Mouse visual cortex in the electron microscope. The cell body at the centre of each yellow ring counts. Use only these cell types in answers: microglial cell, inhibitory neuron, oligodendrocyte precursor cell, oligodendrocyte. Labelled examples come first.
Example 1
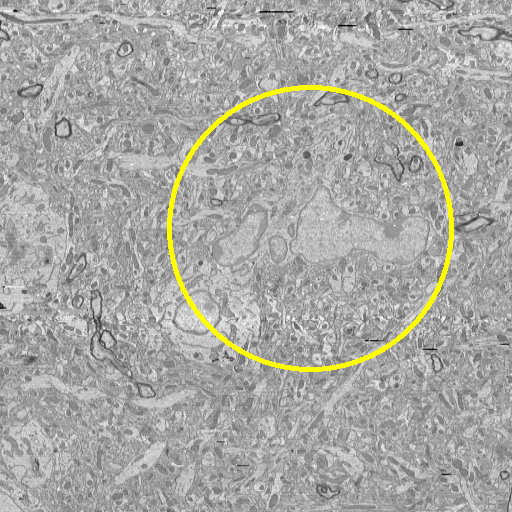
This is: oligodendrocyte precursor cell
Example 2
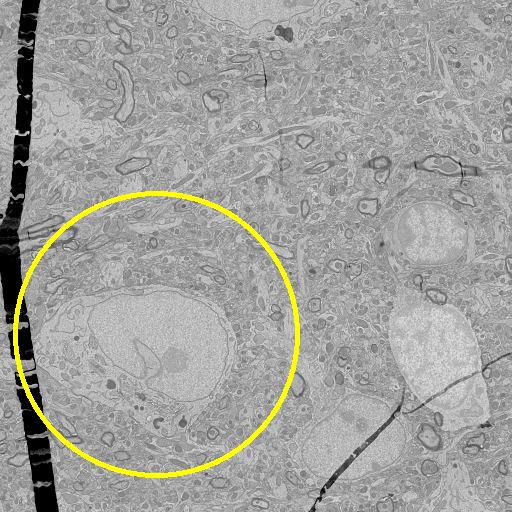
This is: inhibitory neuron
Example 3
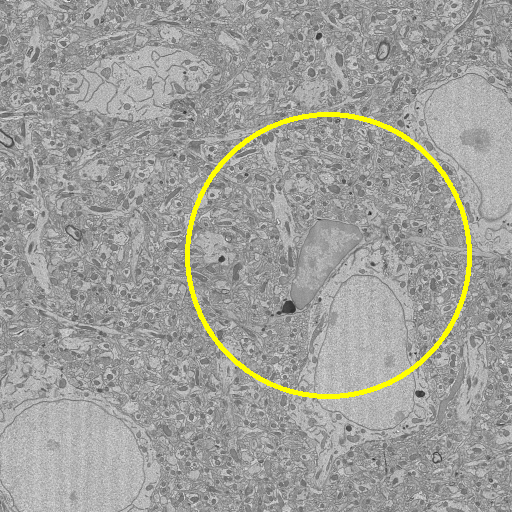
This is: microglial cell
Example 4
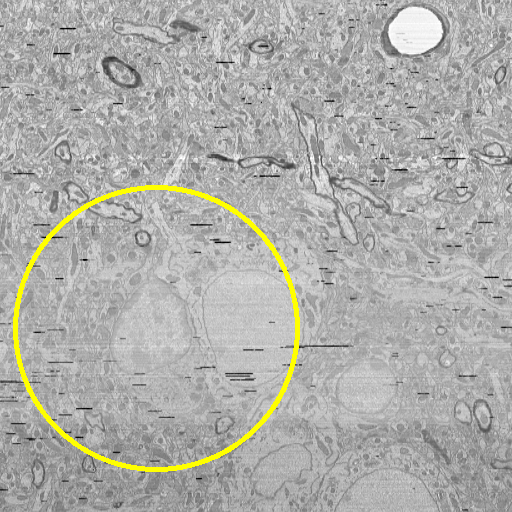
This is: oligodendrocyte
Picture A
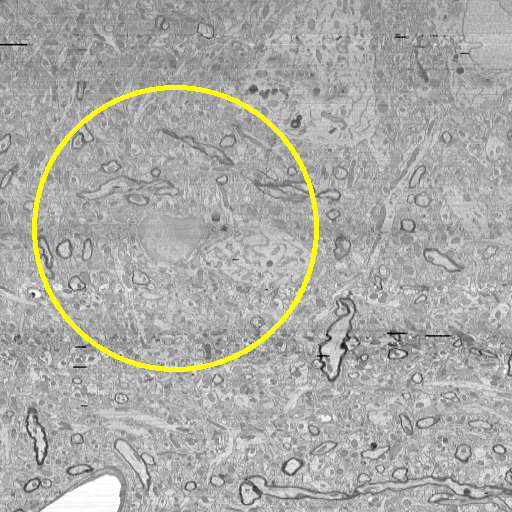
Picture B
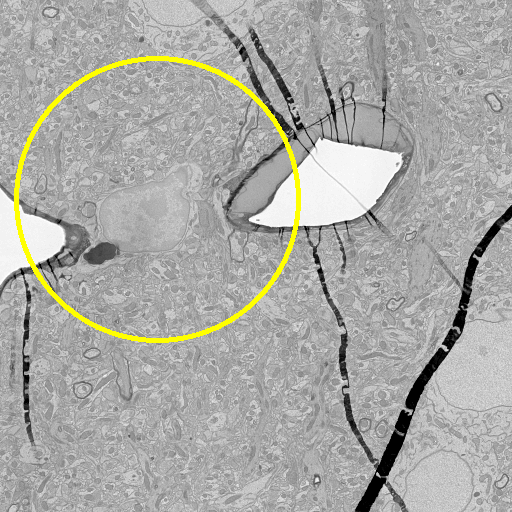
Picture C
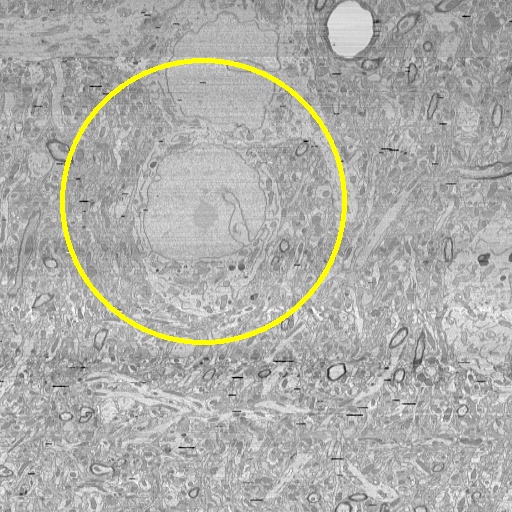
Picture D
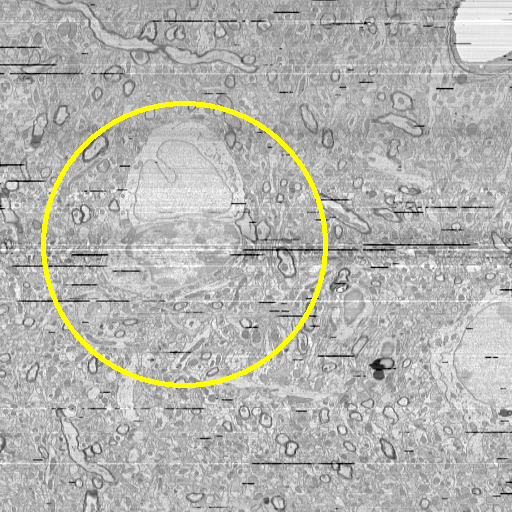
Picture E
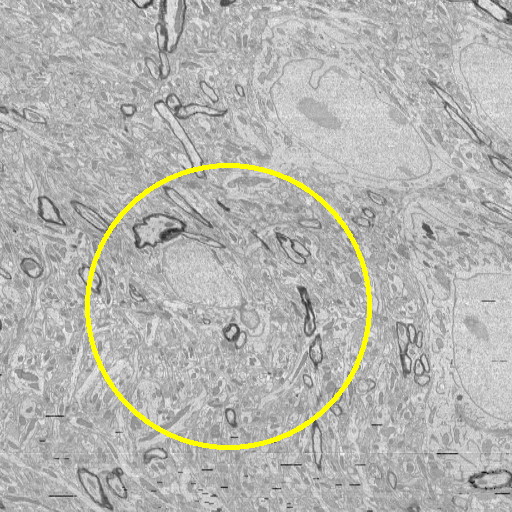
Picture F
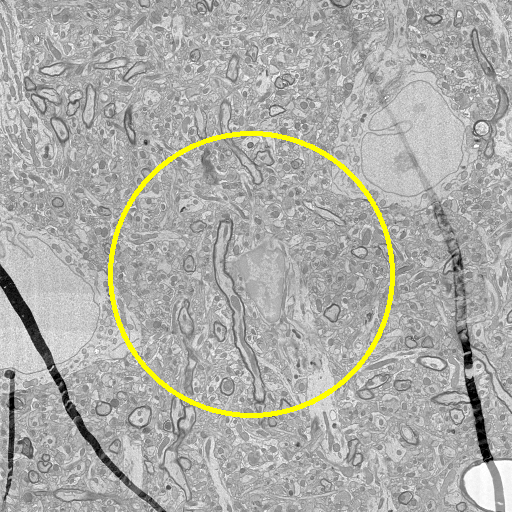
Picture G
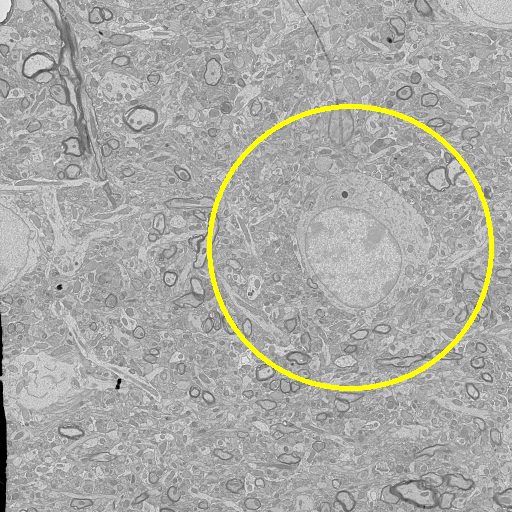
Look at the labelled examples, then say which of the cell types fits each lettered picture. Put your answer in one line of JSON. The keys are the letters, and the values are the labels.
{"A": "microglial cell", "B": "microglial cell", "C": "inhibitory neuron", "D": "oligodendrocyte", "E": "oligodendrocyte precursor cell", "F": "microglial cell", "G": "oligodendrocyte"}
